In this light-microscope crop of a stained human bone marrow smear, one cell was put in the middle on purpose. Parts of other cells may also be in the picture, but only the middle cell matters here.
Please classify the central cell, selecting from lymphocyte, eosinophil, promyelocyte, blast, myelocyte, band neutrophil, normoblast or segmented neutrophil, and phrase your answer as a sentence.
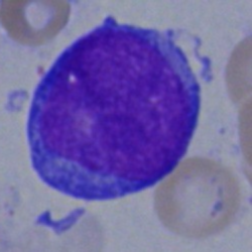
The cell centered in this field of view is a blast.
